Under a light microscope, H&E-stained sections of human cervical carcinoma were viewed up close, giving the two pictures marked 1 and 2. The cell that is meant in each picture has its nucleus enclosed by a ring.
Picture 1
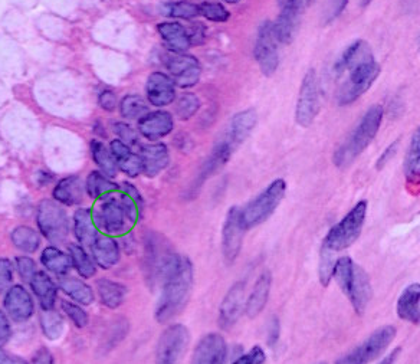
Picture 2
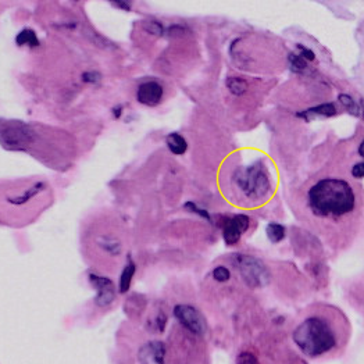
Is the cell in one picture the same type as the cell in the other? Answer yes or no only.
no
